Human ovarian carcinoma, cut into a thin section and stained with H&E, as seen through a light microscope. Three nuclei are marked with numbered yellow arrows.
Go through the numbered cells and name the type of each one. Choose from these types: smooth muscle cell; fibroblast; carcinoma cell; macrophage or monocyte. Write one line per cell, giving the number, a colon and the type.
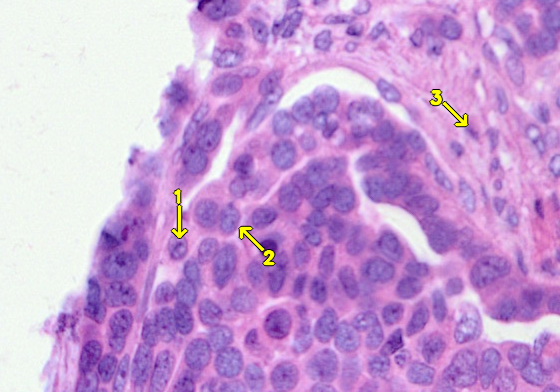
1: macrophage or monocyte
2: carcinoma cell
3: fibroblast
